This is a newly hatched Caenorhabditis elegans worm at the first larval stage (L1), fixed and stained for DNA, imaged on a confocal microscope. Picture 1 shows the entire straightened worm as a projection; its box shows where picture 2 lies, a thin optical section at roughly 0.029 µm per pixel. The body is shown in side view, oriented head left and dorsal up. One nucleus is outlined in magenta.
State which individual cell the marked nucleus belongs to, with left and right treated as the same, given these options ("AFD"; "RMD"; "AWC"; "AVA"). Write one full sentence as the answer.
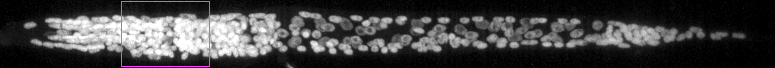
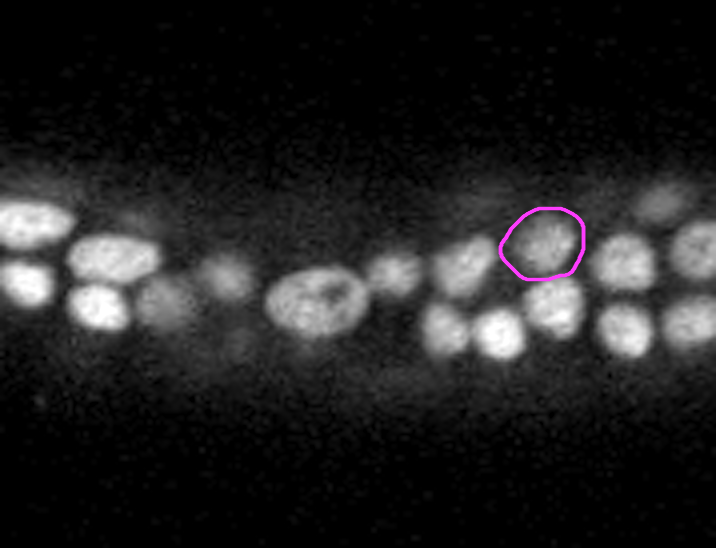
It is the nucleus of AFD, a neuron.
